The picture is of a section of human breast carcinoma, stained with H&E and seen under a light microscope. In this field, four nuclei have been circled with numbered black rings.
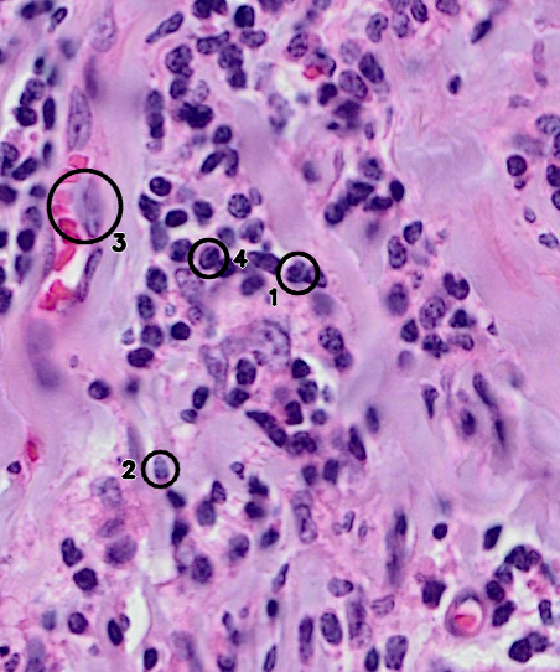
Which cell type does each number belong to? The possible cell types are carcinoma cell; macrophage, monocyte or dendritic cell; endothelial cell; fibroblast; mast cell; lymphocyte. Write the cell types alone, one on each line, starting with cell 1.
lymphocyte
lymphocyte
endothelial cell
lymphocyte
